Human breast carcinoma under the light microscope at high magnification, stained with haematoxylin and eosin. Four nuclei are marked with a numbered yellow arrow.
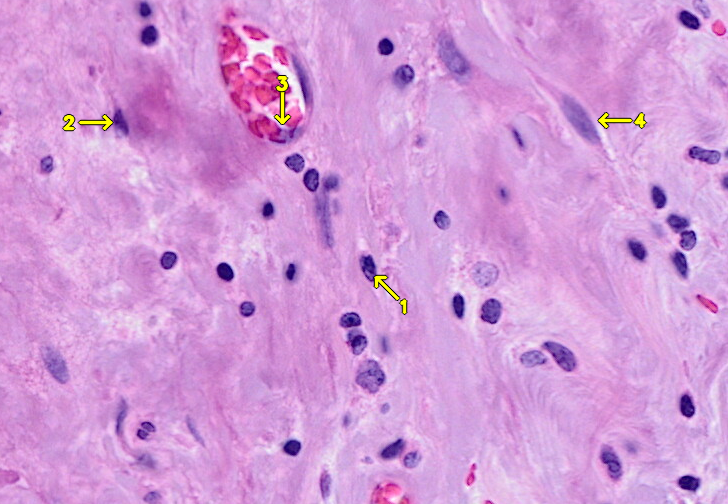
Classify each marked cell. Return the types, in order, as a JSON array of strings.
["lymphocyte", "fibroblast", "endothelial cell", "fibroblast"]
